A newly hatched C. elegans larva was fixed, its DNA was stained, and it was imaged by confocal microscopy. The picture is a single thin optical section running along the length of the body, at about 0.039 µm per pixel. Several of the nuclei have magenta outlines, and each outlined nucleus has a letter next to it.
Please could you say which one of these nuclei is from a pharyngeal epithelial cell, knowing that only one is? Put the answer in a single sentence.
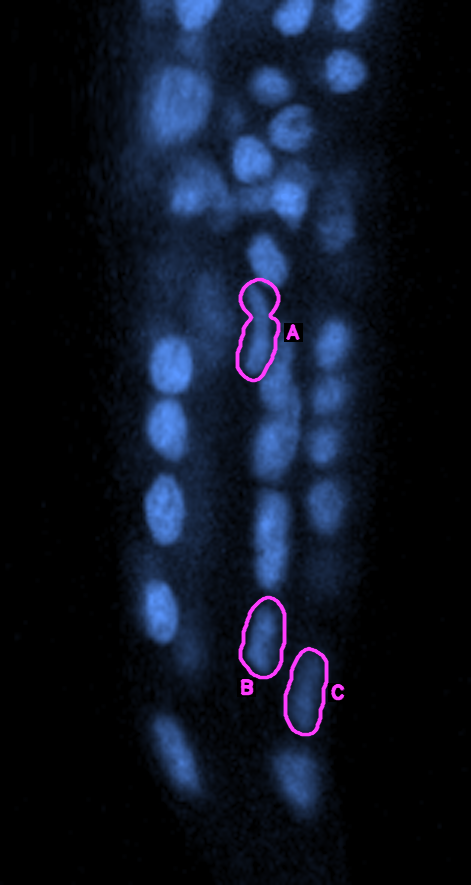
The nucleus of a pharyngeal epithelial cell is B.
